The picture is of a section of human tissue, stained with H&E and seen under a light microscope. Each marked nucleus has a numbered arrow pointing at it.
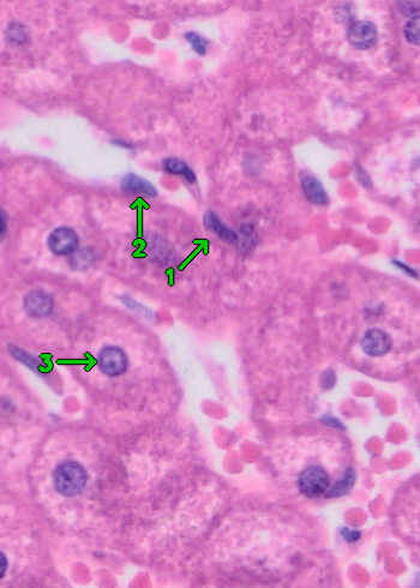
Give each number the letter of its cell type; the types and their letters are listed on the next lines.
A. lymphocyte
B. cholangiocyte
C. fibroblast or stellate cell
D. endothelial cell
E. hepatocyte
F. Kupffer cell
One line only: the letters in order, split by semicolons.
C; D; E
